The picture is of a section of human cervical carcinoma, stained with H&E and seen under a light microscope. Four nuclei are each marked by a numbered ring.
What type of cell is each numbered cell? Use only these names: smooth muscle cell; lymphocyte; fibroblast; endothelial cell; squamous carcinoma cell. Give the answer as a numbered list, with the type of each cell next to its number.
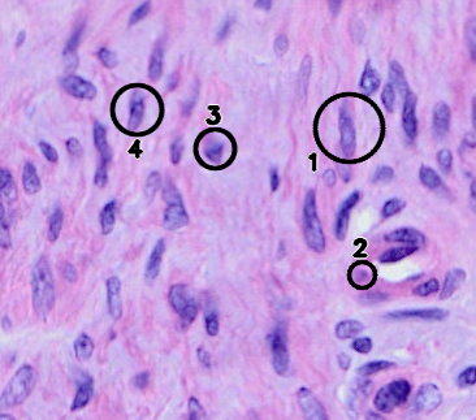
1. smooth muscle cell
2. endothelial cell
3. smooth muscle cell
4. smooth muscle cell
